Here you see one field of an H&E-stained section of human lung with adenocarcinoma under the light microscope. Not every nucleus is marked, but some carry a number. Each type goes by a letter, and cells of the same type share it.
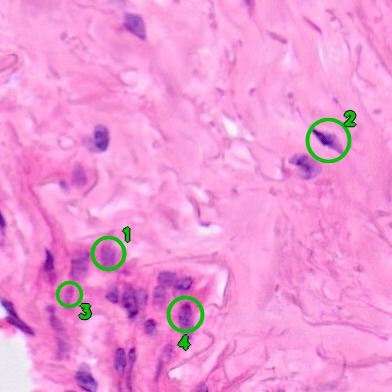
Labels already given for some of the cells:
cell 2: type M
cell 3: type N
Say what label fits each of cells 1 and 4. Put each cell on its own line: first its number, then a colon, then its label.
1: type N
4: type N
